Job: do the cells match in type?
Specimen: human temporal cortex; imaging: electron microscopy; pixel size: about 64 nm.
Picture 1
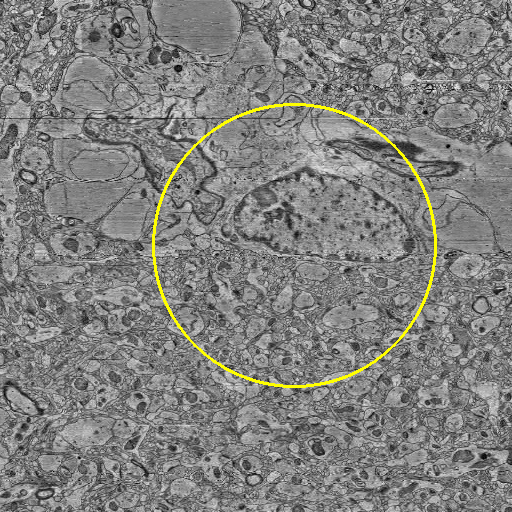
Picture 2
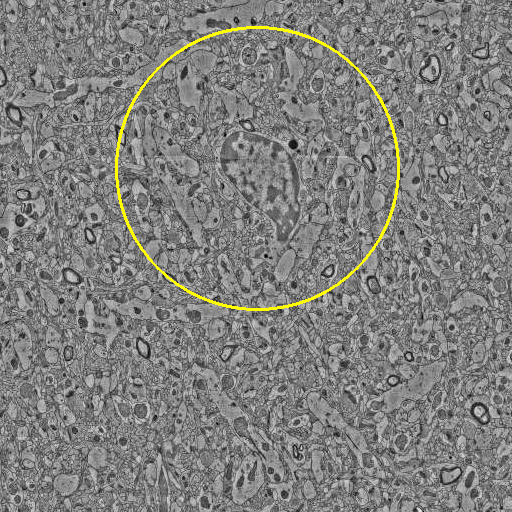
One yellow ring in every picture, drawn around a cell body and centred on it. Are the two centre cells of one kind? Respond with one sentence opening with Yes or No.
Yes, the ringed cells in the two pictures are of one and the same kind.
